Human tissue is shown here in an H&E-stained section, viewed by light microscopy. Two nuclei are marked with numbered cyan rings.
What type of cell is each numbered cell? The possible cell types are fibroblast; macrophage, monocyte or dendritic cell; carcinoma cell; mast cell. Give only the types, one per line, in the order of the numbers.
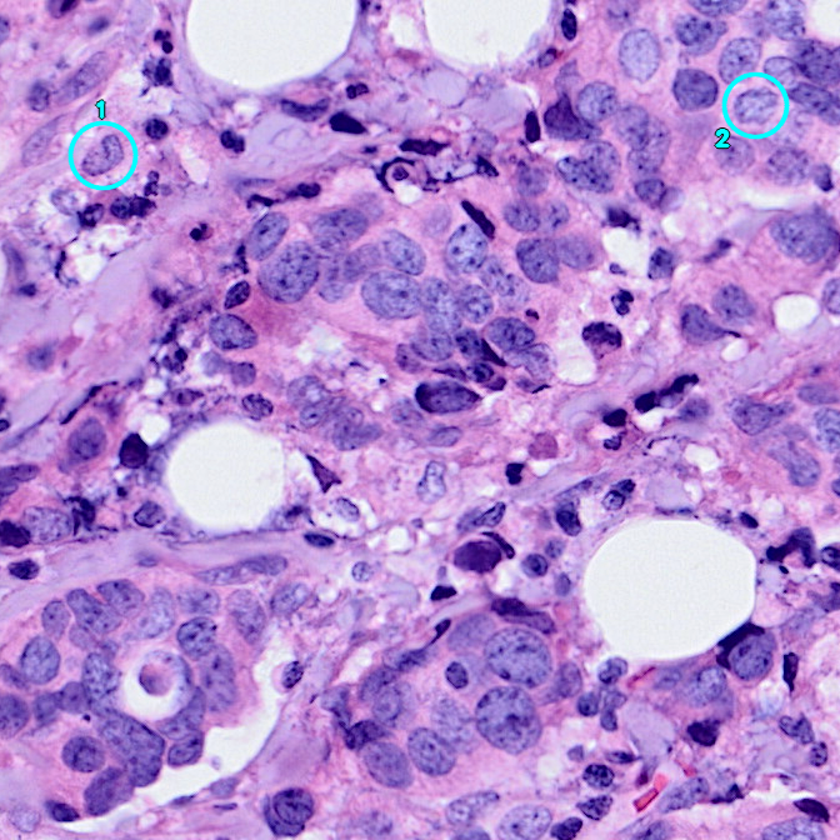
macrophage, monocyte or dendritic cell
carcinoma cell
